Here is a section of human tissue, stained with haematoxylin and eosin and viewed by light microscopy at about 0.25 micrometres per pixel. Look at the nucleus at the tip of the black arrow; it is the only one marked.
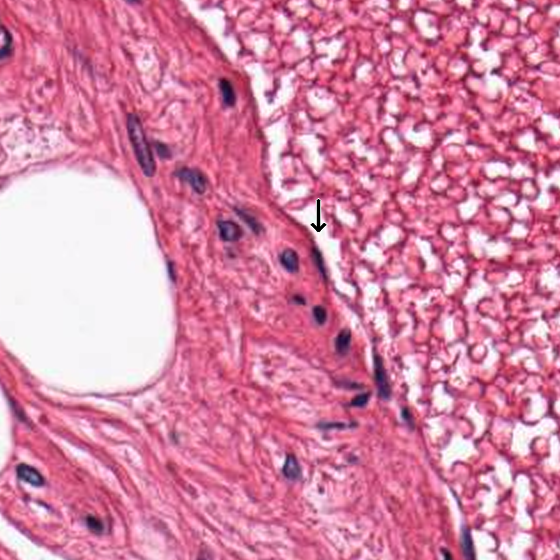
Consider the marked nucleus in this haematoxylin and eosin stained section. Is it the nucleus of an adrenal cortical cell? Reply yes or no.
no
